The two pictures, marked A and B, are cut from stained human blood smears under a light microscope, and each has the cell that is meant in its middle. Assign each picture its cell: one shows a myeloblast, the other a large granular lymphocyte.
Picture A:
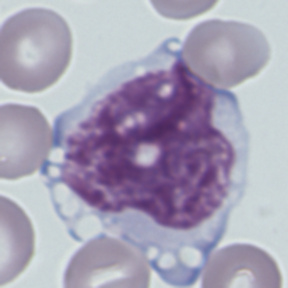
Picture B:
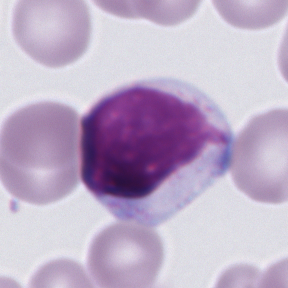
A: myeloblast
B: large granular lymphocyte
